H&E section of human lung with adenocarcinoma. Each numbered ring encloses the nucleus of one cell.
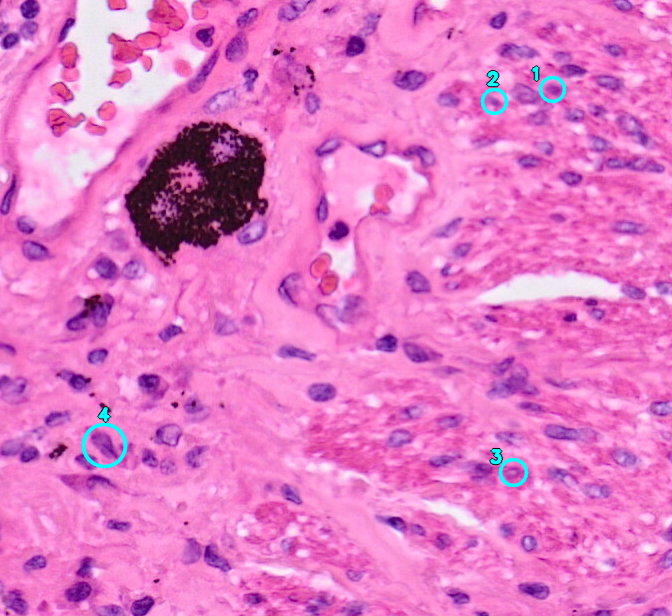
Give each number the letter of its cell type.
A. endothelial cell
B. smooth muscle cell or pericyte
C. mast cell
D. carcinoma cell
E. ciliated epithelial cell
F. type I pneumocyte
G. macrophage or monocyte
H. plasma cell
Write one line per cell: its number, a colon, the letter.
1: B
2: B
3: B
4: H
